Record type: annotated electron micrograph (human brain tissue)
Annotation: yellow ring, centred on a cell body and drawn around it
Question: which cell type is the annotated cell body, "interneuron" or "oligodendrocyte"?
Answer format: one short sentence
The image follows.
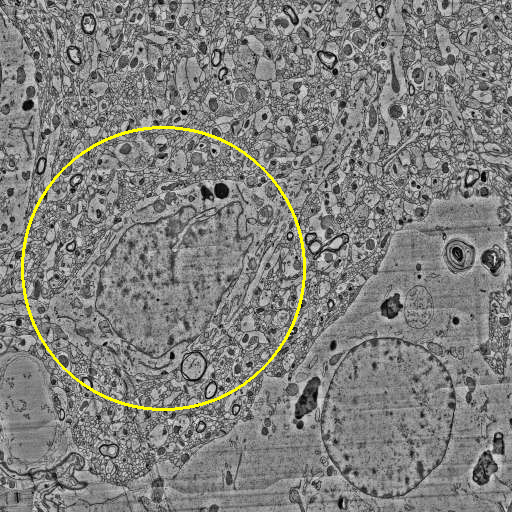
The annotated cell body is that of an interneuron.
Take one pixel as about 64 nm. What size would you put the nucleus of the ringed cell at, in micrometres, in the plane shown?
In this plane the nucleus spans approximately 11 by 8 micrometers.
